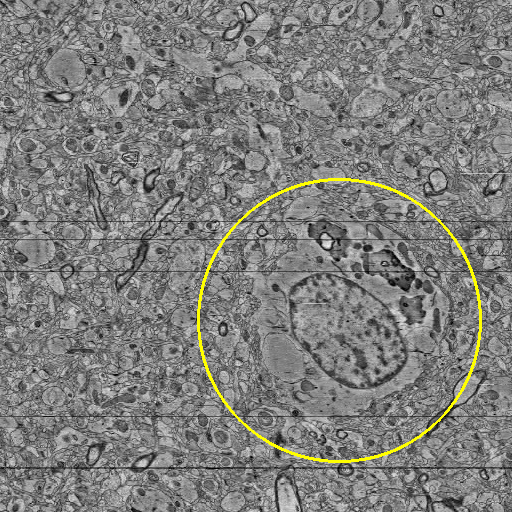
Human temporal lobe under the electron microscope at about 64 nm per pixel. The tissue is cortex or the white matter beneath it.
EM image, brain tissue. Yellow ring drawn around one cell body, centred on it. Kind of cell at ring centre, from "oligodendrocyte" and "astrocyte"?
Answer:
astrocyte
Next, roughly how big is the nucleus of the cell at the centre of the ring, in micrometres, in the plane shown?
In this plane the nucleus spans approximately 9 by 6 micrometers.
